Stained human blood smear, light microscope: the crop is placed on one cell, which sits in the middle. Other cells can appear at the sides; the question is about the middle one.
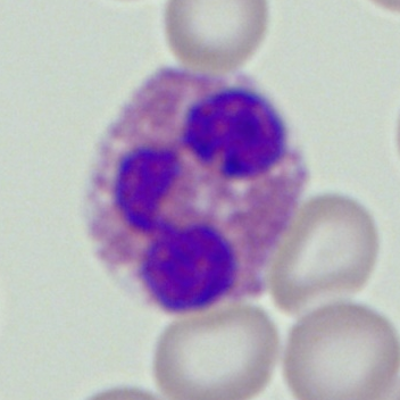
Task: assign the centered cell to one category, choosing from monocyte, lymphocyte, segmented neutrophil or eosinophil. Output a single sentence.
The cell at the centre of the field is an eosinophil.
